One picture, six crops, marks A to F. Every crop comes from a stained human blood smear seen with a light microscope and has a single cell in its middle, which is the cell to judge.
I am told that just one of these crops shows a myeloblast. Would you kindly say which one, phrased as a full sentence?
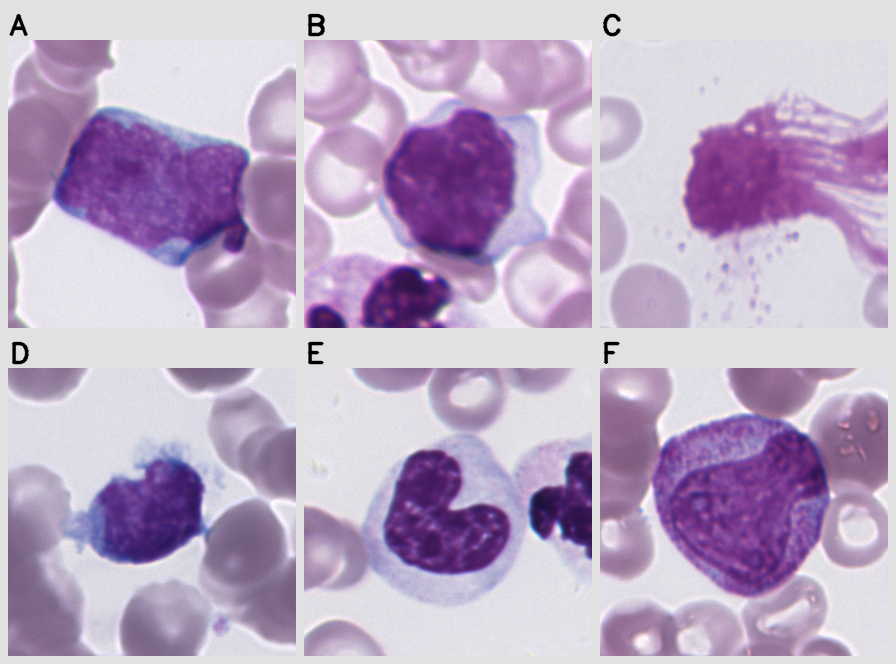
It is crop A, not any other, that shows a myeloblast.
